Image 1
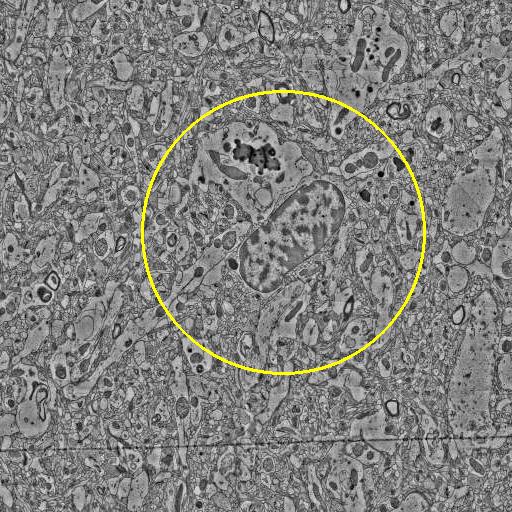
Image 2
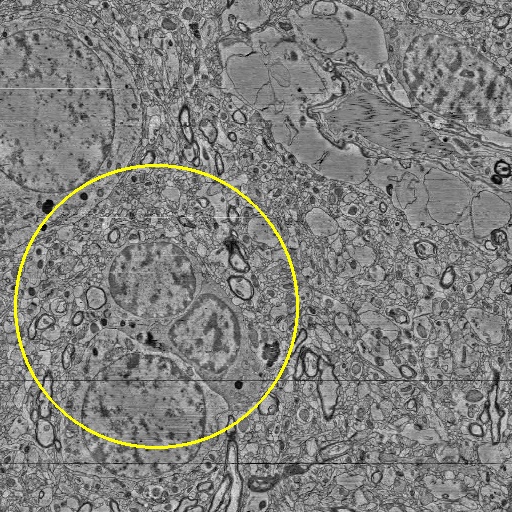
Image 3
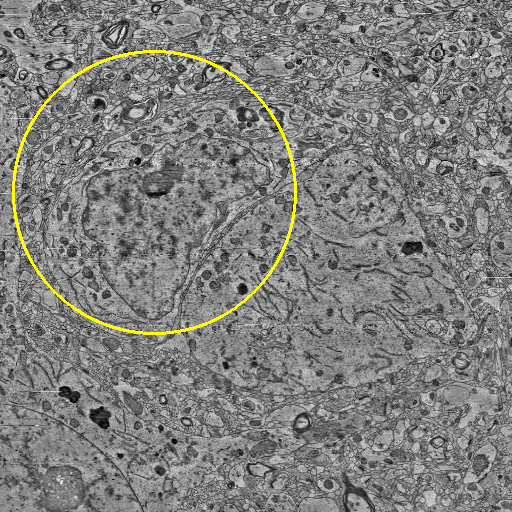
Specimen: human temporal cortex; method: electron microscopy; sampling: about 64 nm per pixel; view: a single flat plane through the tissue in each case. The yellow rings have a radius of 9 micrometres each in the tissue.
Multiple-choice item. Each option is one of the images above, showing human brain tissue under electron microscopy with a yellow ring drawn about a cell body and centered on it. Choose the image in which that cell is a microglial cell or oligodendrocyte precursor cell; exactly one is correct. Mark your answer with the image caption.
Image 1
